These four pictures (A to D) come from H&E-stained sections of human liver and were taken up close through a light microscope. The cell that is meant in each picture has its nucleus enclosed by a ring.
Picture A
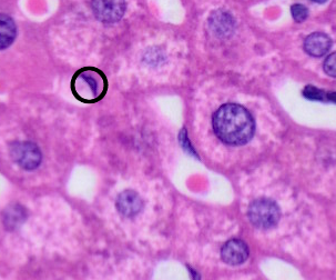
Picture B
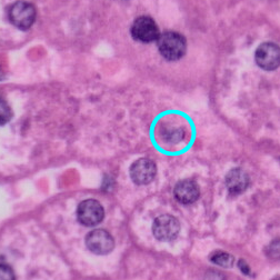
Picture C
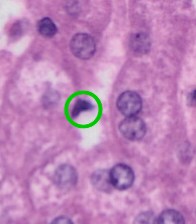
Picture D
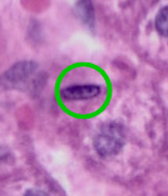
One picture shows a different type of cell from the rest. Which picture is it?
D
